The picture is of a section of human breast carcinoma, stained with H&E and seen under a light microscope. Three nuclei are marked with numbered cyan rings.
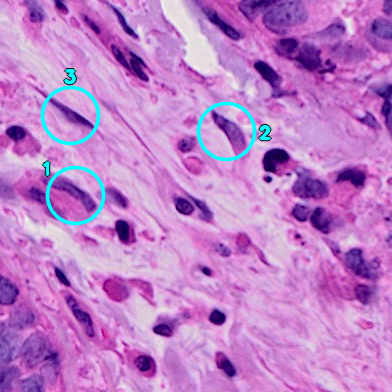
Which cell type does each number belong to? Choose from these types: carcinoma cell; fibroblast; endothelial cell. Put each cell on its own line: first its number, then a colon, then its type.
1: endothelial cell
2: fibroblast
3: fibroblast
